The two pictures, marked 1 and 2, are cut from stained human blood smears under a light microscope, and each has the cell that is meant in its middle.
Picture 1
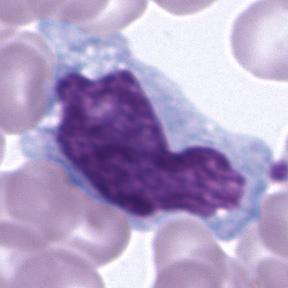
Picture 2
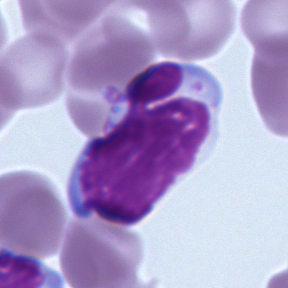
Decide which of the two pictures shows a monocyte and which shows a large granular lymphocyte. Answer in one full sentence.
Picture 1 is of a monocyte, and picture 2 is of a large granular lymphocyte.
